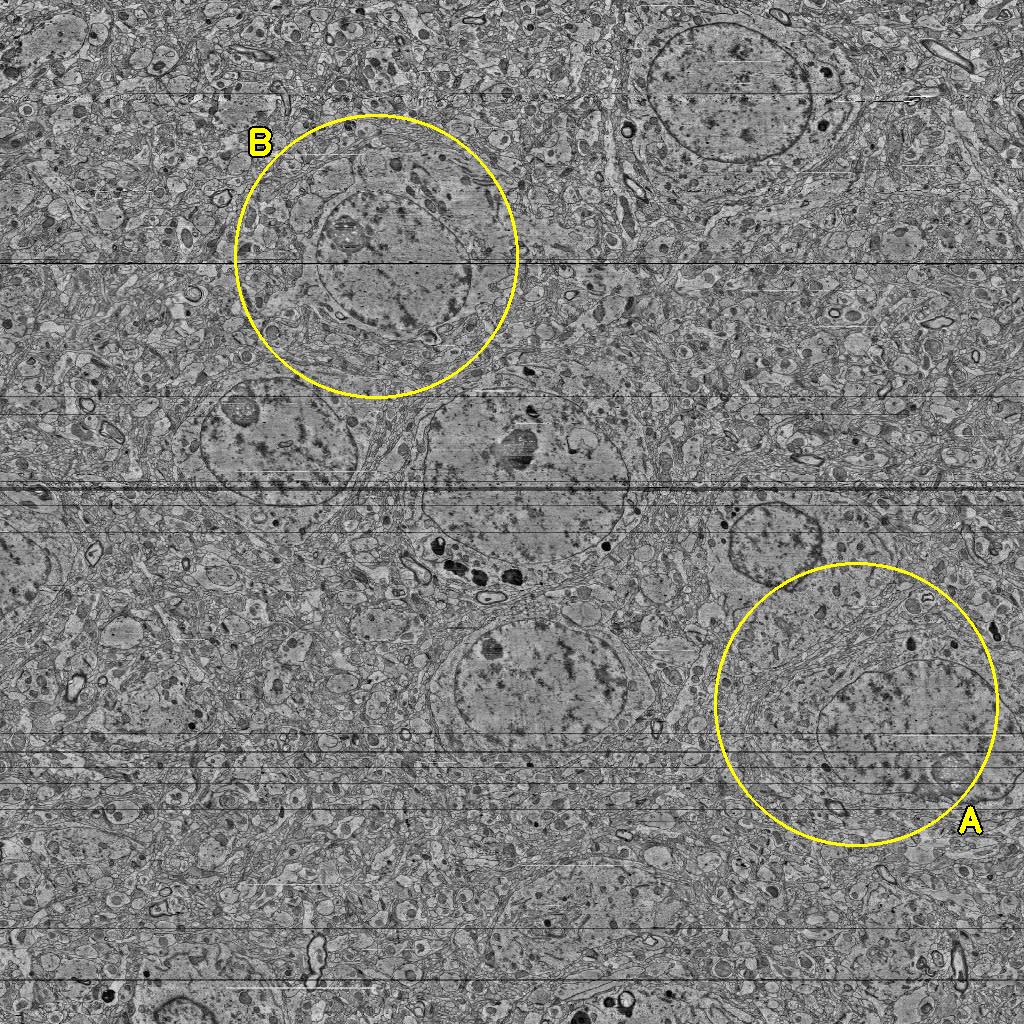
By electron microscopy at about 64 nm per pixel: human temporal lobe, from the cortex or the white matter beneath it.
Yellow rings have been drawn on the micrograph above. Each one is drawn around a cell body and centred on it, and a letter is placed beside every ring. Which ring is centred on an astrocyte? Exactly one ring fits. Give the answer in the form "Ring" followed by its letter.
Ring B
